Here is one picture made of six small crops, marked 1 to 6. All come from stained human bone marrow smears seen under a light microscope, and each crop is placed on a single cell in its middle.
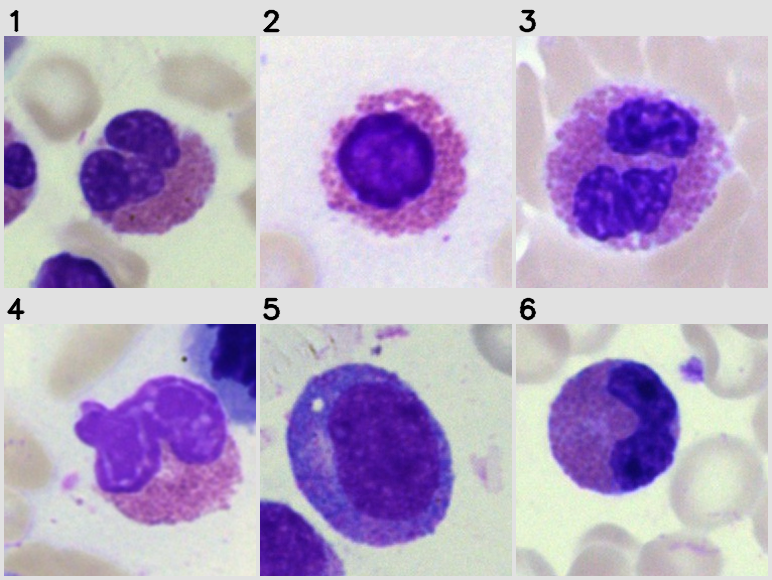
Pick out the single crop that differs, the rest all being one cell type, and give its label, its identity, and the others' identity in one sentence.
As the exception to the eosinophils in the other crops, crop 5 shows a promyelocyte.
